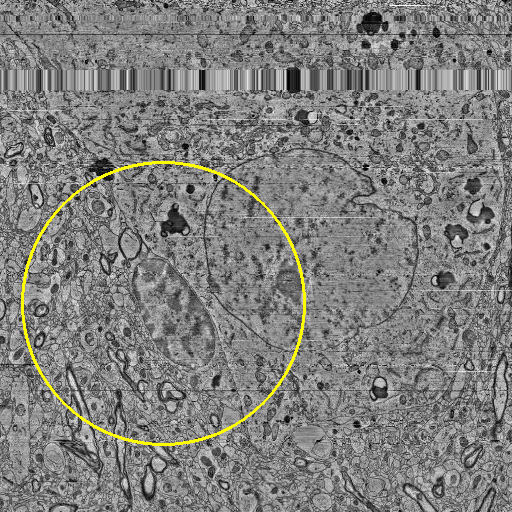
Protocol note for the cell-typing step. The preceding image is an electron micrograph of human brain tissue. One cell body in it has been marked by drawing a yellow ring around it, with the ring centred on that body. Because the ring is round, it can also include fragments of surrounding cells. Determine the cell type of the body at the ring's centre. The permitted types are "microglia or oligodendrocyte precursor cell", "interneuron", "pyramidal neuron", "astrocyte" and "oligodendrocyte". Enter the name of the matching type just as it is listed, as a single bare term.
oligodendrocyte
